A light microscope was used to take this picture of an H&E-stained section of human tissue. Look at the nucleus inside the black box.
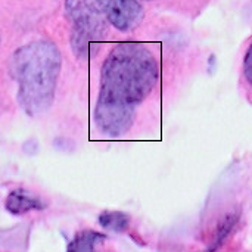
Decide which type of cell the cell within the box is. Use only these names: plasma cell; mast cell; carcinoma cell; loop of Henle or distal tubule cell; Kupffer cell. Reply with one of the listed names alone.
carcinoma cell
